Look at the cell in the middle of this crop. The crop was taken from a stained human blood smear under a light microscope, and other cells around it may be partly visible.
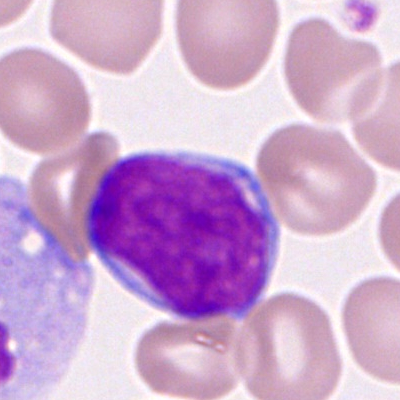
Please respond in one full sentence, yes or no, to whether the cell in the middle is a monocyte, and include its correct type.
No, this is not a monocyte at all; the cell in the middle is a myeloblast.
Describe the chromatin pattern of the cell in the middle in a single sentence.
You can see that its chromatin is coarsely clumped.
